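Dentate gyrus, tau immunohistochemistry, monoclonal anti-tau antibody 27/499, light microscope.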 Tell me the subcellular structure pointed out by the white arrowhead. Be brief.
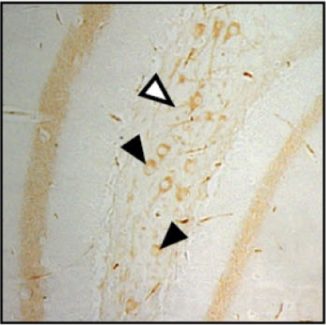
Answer: axonal/dendritic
